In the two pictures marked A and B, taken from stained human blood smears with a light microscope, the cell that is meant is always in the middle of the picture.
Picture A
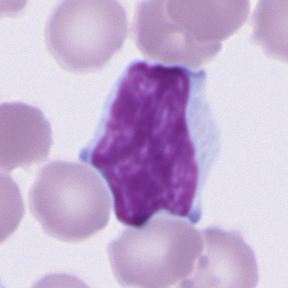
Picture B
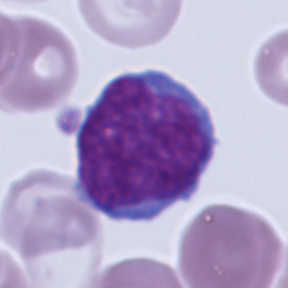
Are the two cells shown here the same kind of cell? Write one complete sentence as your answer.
No, picture A shows a typical lymphocyte and picture B shows a myeloblast.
